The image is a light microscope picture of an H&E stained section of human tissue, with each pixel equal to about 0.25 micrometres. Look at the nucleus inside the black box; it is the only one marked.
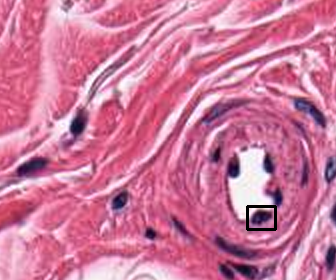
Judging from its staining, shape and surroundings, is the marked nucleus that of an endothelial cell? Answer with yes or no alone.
yes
